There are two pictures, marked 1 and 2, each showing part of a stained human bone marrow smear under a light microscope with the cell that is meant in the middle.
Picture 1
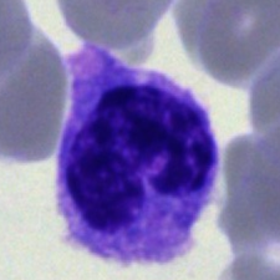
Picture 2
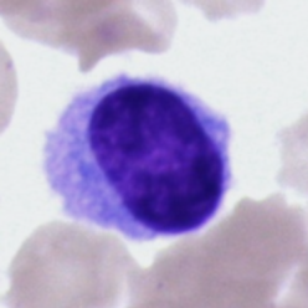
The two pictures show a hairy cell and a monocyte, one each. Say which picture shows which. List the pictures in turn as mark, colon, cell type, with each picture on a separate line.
1: monocyte
2: hairy cell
